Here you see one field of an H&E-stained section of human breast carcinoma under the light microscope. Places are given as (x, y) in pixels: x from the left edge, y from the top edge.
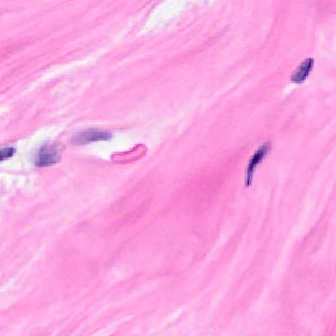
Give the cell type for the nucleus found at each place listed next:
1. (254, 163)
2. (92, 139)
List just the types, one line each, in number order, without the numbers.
fibroblast
endothelial cell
